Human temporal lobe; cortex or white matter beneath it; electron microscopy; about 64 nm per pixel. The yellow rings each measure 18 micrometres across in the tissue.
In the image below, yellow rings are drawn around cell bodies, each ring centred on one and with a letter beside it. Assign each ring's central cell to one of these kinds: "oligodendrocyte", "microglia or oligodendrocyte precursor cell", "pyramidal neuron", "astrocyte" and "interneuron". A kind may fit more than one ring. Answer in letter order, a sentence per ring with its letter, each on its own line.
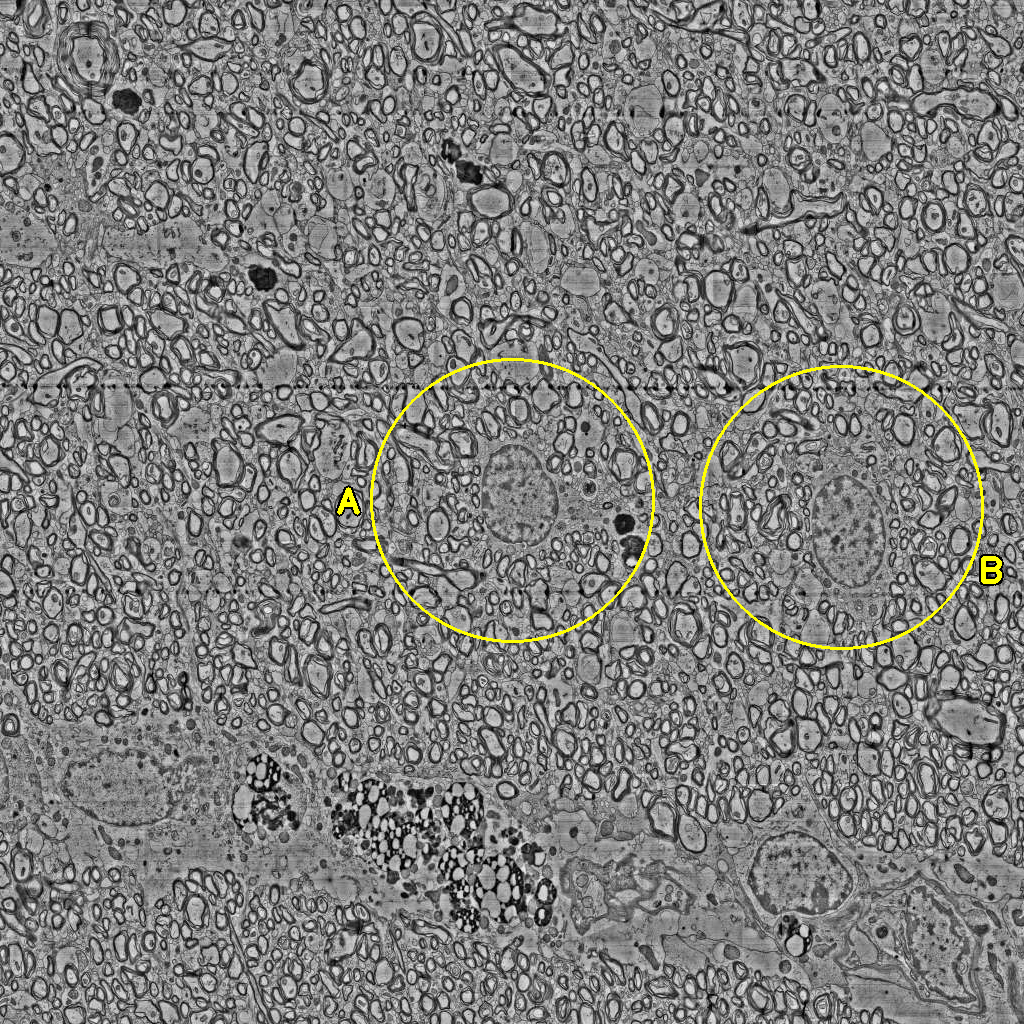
The central cell of ring A is an oligodendrocyte.
The central cell of ring B is an oligodendrocyte.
